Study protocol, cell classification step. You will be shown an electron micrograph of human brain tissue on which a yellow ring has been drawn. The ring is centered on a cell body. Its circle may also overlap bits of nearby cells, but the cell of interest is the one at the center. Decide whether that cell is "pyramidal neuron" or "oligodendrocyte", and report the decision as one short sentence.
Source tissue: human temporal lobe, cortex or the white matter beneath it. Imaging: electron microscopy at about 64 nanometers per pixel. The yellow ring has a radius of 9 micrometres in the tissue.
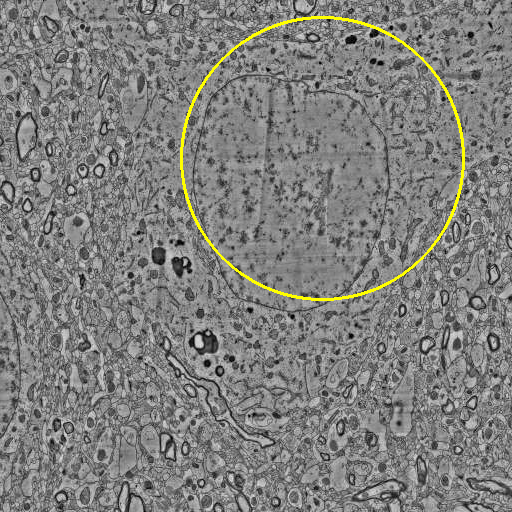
The marked cell is a pyramidal neuron.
